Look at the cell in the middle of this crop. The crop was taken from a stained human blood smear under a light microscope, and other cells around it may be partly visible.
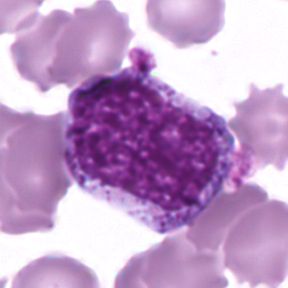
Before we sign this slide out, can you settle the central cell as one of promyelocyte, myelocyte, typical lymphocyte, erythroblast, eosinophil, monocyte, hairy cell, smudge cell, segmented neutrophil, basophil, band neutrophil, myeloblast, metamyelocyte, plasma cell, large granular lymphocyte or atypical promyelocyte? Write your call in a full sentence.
The middle of this crop holds a myelocyte.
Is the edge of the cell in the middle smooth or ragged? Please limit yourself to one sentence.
Because its outline is ragged or drawn out into projections, the cell lacks a smooth border.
